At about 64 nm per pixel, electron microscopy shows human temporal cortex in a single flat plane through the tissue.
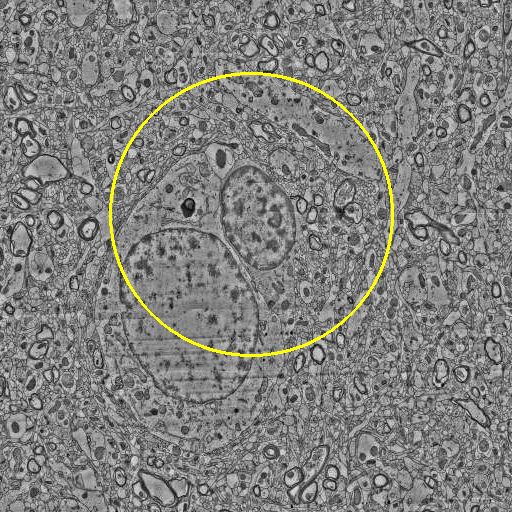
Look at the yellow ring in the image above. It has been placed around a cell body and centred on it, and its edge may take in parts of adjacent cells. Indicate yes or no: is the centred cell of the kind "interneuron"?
no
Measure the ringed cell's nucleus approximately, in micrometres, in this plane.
The nucleus works out at approximately 7 by 5 micrometres in this plane.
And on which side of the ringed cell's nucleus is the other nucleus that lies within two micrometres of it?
The other nucleus lies to the lower left of it.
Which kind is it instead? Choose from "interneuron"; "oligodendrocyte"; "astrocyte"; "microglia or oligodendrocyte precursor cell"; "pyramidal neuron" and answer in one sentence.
The cell shown in the ring is an oligodendrocyte.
